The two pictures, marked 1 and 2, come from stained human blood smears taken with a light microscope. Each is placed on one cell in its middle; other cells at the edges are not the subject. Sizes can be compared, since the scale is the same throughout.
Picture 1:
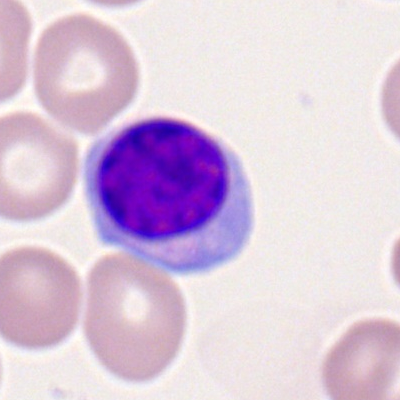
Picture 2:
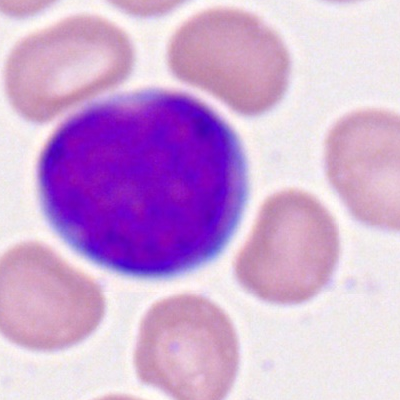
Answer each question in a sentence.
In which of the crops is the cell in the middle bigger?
Larger is the cell in picture 2, at roughly 1.5 times the area of the other.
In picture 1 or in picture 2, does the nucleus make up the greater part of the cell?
It is the cell in picture 2 that is filled more by its nucleus.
